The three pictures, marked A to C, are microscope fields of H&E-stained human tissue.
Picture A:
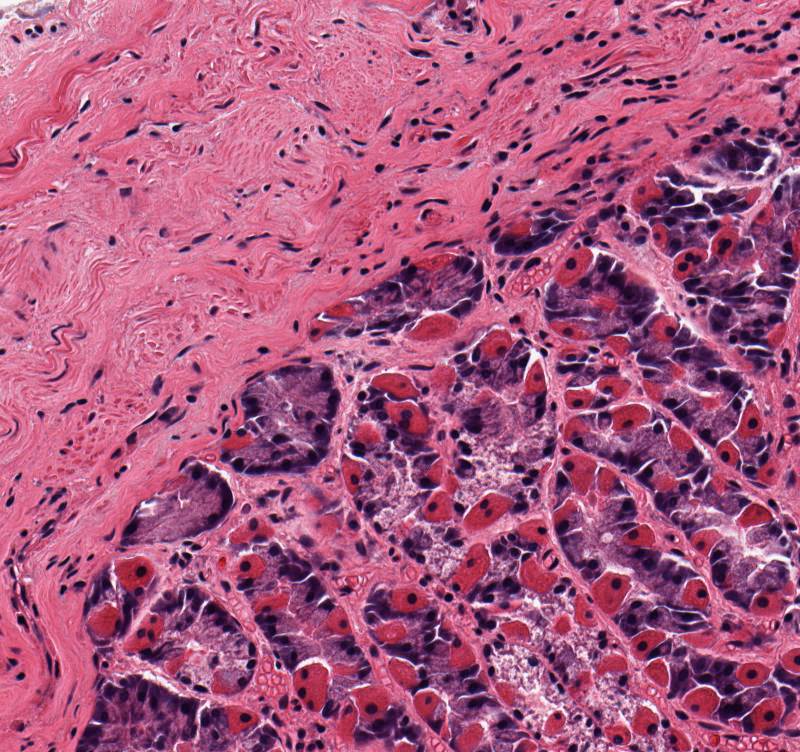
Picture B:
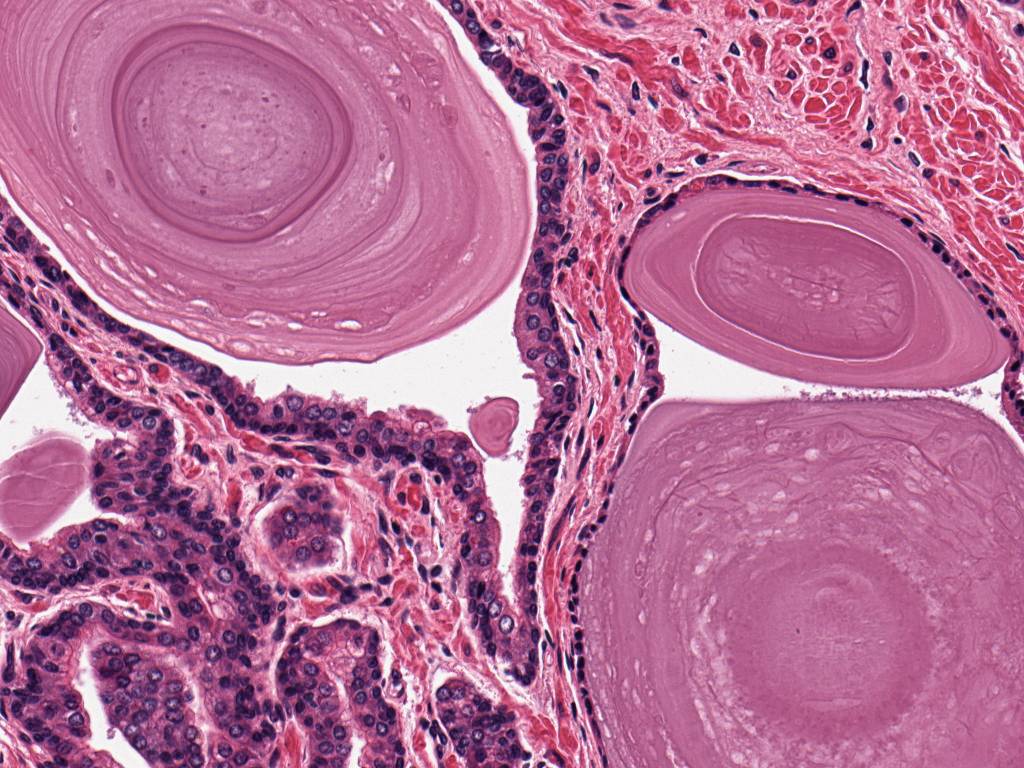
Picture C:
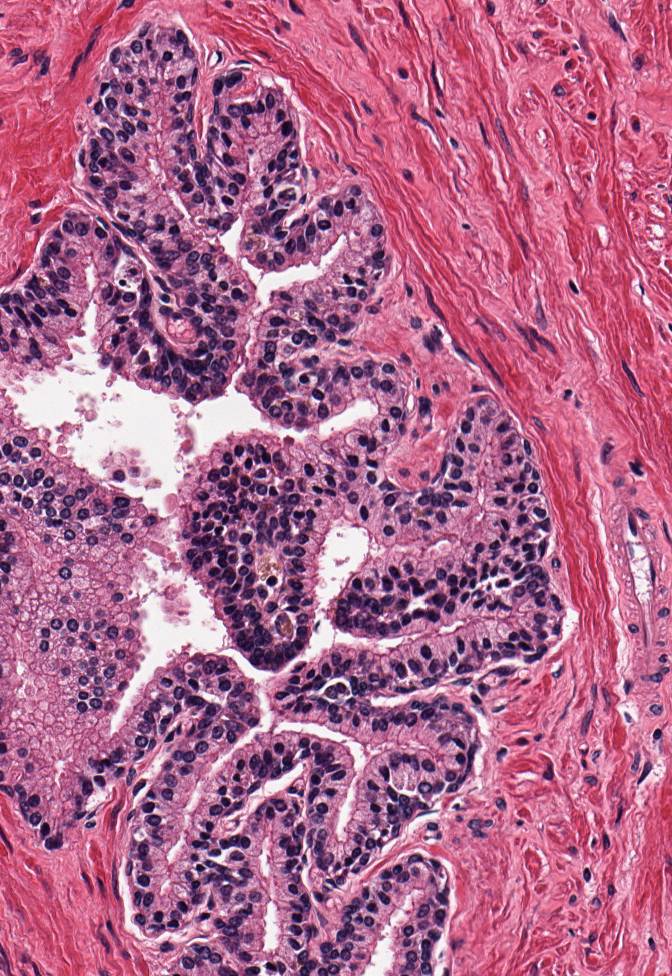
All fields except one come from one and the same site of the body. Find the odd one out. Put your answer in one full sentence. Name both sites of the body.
Picture A is the odd one out: it comes from the stomach, while the others come from the prostate.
